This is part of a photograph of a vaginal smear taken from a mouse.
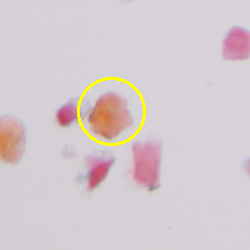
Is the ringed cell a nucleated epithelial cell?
No, it is a cornified epithelial cell.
